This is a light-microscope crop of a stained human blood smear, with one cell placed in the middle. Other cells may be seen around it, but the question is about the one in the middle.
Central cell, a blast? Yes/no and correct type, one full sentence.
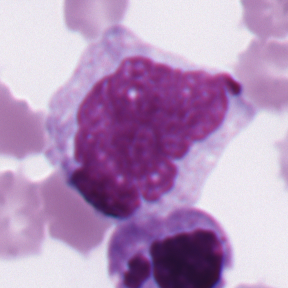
No, this cell in the middle is a monocyte, so it is not a blast.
